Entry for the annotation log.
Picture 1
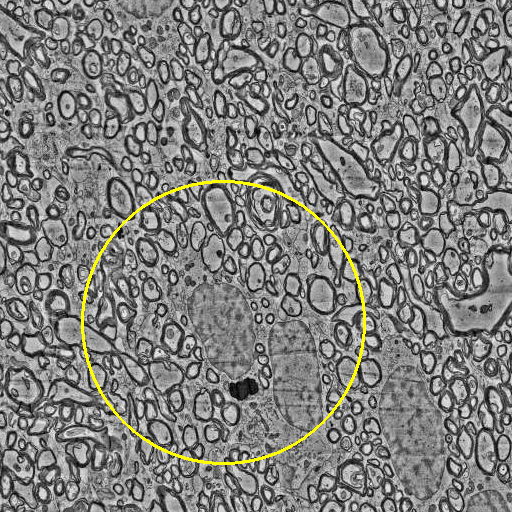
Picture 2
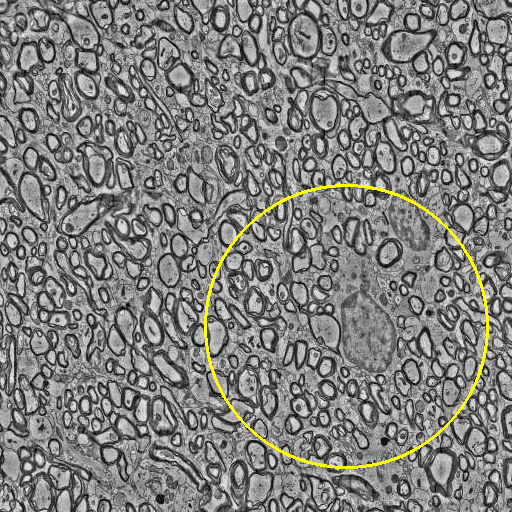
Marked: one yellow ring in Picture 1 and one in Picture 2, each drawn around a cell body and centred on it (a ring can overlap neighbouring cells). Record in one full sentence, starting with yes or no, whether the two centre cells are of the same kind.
Yes, both cells are of the same kind.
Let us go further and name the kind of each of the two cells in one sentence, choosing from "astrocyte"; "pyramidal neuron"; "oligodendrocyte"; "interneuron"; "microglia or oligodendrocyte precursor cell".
In each picture the ringed cell is an oligodendrocyte.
